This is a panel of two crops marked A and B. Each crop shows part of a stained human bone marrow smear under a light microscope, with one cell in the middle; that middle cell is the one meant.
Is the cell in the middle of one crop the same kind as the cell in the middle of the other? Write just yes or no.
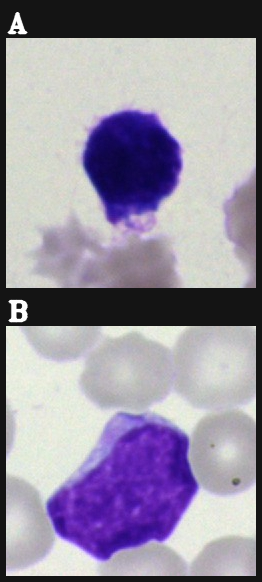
yes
